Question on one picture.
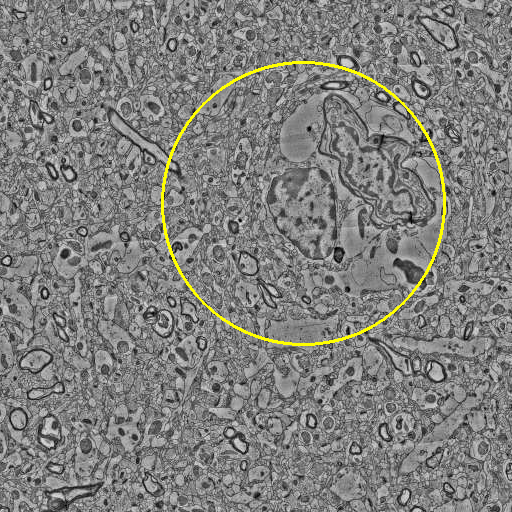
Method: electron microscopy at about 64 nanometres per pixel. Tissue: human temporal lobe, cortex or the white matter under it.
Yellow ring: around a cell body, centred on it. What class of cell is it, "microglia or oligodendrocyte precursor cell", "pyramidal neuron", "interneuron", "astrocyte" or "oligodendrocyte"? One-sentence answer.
This is a microglial cell or oligodendrocyte precursor cell, the cell the ring is centred on.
